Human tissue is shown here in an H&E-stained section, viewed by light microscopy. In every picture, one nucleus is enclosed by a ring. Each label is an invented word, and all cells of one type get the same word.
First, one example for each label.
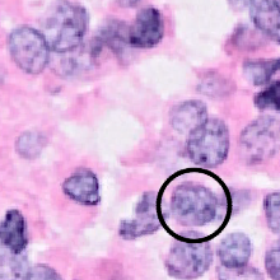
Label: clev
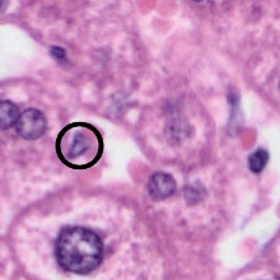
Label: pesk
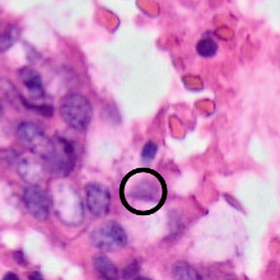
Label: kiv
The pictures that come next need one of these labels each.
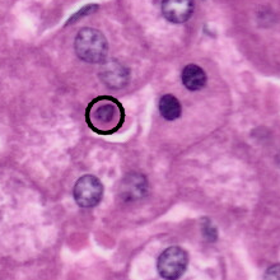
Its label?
pesk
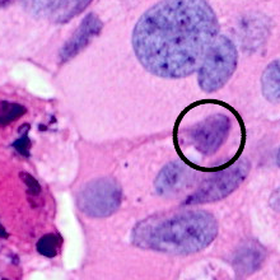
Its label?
clev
